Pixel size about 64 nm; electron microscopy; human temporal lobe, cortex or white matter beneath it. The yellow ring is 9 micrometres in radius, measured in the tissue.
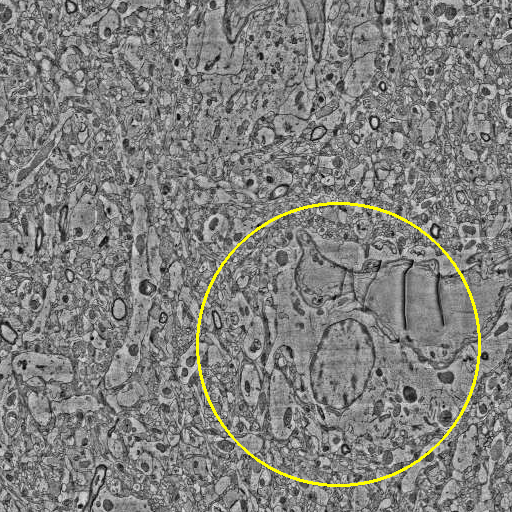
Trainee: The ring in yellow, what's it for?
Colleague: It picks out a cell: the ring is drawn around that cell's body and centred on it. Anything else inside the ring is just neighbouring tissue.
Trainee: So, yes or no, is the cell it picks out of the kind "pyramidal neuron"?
no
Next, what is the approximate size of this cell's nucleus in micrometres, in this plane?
About 6 by 4 micrometres; in this plane the nucleus is clearly longer than it is wide.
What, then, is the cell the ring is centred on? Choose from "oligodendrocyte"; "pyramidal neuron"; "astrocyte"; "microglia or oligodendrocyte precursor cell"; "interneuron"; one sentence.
It is a microglial cell or oligodendrocyte precursor cell at the centre of the ring.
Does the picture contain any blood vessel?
Yes, there is one.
